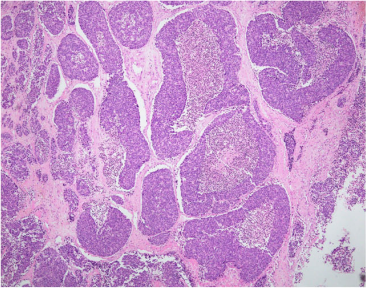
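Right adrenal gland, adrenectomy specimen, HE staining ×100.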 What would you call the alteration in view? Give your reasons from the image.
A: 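Many tumour nests have pale, paler-staining centres with scattered debris. Viable dark blue tumour cells line the edges of the nests.
Areas of necrosis.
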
